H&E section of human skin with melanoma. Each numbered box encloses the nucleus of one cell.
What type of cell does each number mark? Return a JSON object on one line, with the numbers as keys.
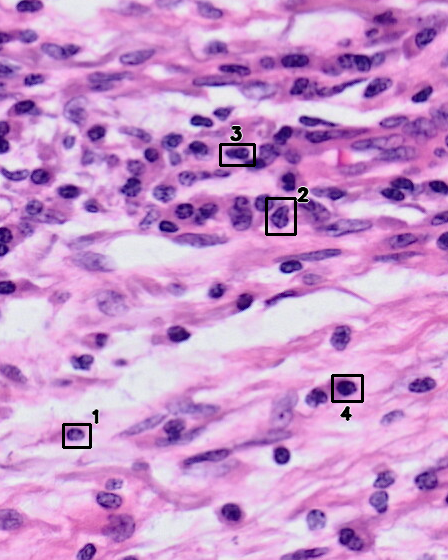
{"1": "plasma cell", "2": "lymphocyte", "3": "lymphocyte", "4": "plasma cell"}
